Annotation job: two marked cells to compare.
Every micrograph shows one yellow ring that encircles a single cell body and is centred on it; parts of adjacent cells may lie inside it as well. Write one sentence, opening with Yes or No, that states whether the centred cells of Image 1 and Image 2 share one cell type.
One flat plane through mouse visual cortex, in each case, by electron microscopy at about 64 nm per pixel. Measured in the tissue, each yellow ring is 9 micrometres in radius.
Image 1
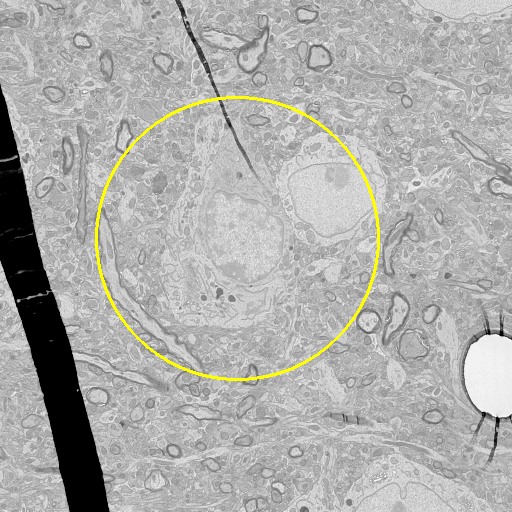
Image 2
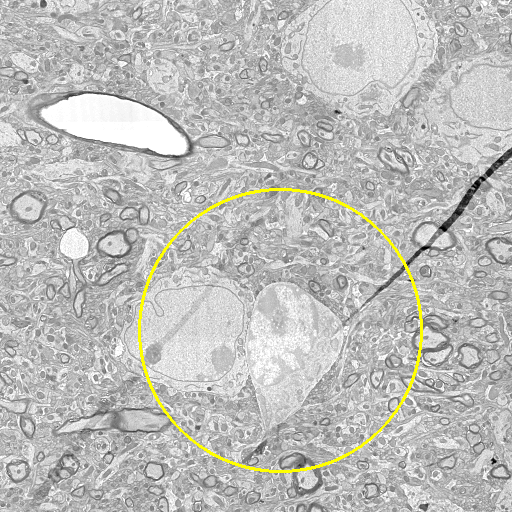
Yes, the cell centred in Image 1 shares its type with the cell centred in Image 2.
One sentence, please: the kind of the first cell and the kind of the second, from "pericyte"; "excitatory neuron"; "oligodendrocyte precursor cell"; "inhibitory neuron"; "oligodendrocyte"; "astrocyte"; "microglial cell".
The ring centre holds an oligodendrocyte in each of the two pictures.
